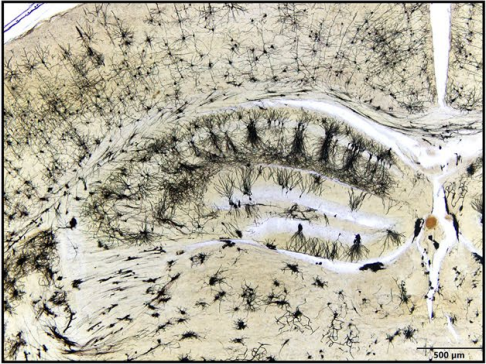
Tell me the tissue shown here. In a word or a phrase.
Hippocampus.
